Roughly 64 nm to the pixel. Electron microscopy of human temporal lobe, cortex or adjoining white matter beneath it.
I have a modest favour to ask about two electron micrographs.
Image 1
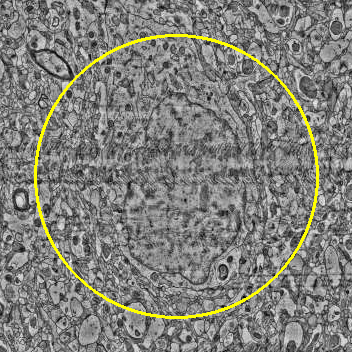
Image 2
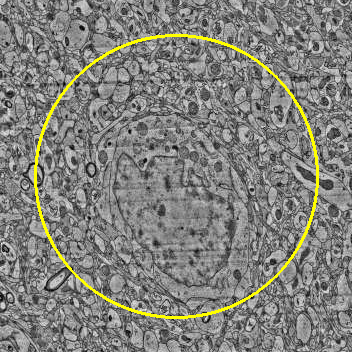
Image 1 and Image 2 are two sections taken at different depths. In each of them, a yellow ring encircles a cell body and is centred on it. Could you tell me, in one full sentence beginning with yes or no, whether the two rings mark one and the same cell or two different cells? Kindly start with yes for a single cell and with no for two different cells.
No, the yellow rings highlight two different cells in the tissue.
